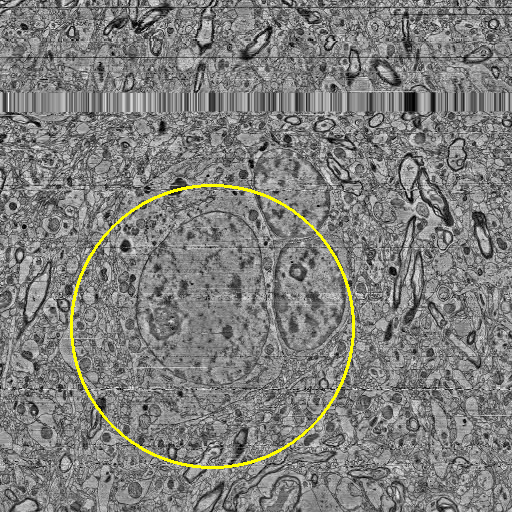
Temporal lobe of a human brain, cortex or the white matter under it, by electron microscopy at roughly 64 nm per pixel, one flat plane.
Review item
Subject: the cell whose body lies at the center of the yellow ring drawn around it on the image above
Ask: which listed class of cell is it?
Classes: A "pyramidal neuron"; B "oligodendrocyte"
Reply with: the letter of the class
A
